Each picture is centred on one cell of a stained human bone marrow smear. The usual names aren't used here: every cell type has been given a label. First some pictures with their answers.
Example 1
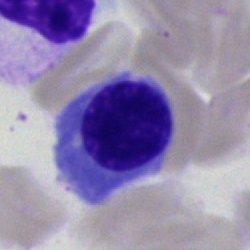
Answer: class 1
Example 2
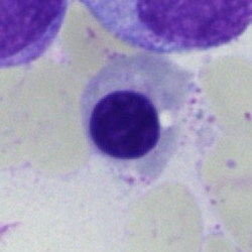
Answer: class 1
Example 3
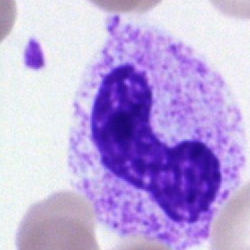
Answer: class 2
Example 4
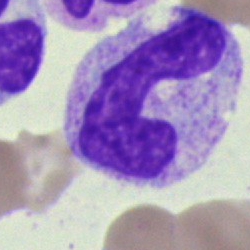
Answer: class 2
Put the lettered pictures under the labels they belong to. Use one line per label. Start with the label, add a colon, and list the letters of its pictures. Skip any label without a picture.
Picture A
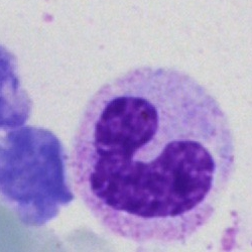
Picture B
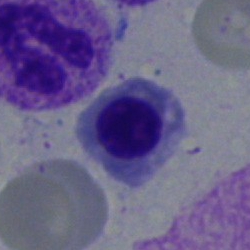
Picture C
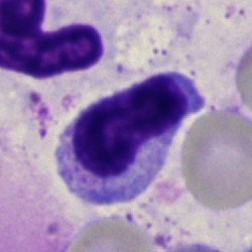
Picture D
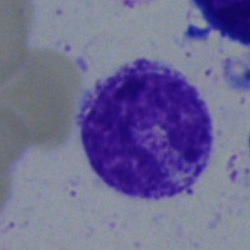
class 1: B
class 2: A, C, D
